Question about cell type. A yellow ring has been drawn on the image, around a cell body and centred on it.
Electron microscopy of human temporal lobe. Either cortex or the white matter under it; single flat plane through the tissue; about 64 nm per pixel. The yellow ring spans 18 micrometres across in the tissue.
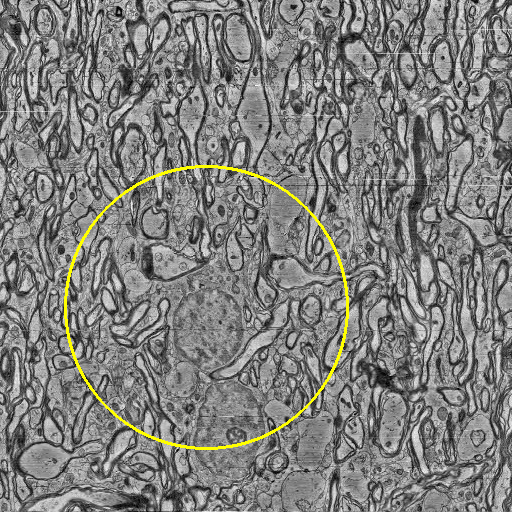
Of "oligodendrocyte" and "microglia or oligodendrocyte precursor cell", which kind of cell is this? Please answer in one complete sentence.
At the centre of the ring lies an oligodendrocyte.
